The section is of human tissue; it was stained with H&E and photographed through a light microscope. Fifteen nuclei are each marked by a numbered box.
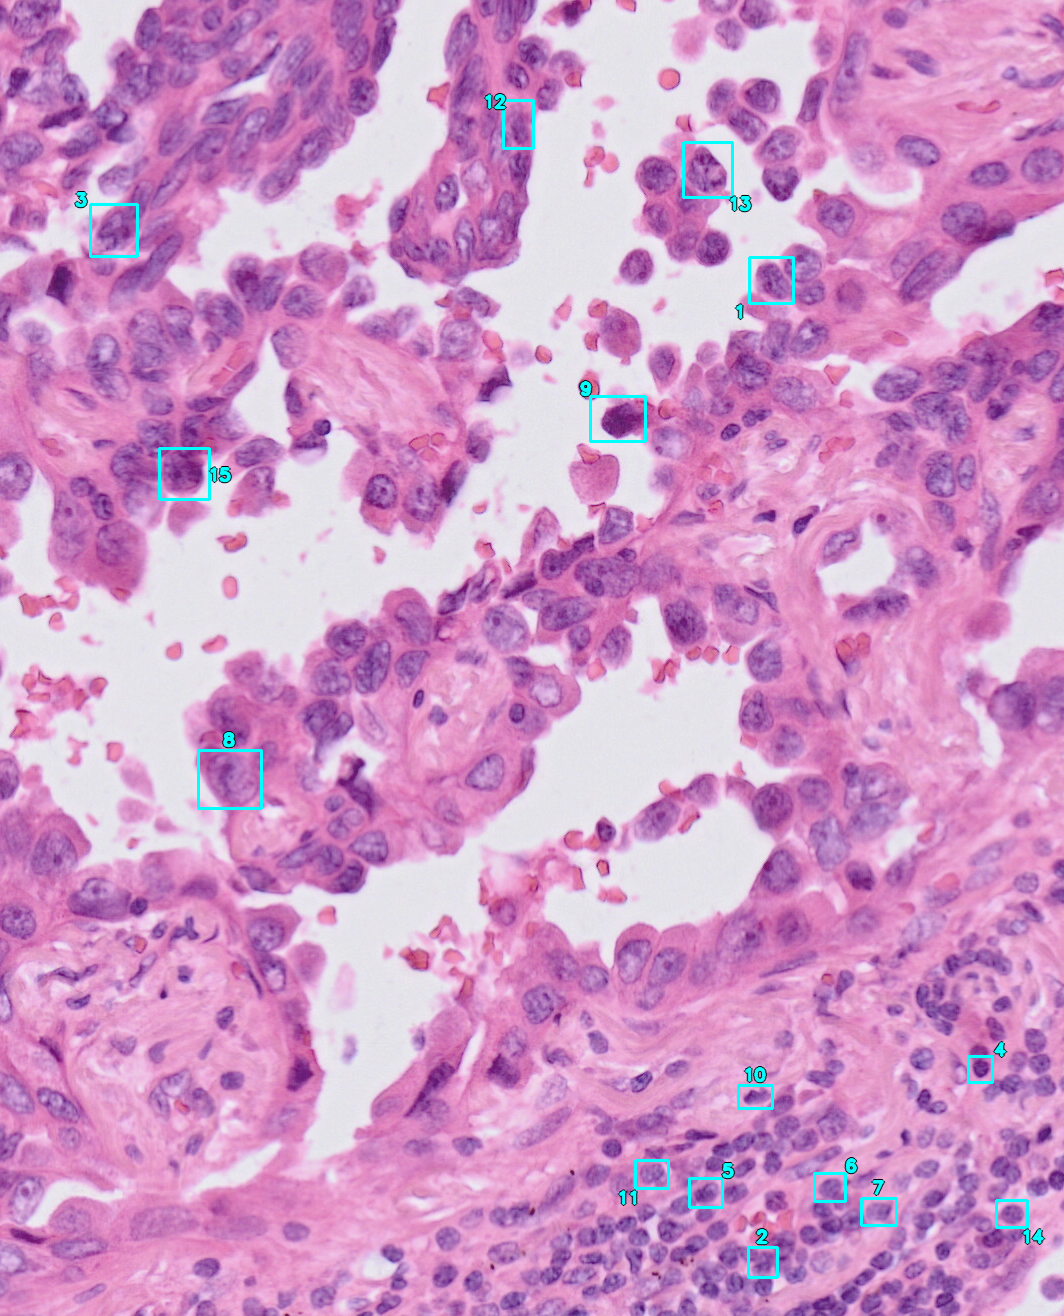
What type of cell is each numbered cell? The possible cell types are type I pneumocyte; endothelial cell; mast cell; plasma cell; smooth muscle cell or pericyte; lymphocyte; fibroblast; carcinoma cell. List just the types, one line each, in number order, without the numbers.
carcinoma cell
lymphocyte
carcinoma cell
lymphocyte
lymphocyte
lymphocyte
lymphocyte
carcinoma cell
carcinoma cell
lymphocyte
lymphocyte
carcinoma cell
carcinoma cell
lymphocyte
carcinoma cell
